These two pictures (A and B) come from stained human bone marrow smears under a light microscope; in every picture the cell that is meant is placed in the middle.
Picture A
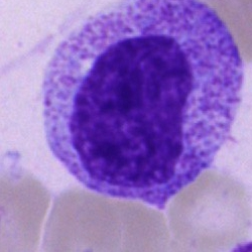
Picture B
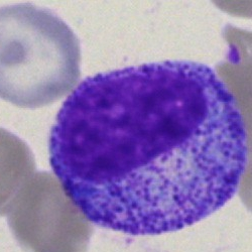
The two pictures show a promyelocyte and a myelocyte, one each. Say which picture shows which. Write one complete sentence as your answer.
Picture A is of a promyelocyte, and picture B is of a myelocyte.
